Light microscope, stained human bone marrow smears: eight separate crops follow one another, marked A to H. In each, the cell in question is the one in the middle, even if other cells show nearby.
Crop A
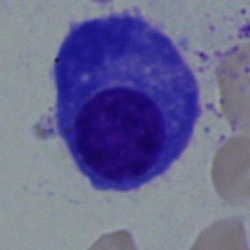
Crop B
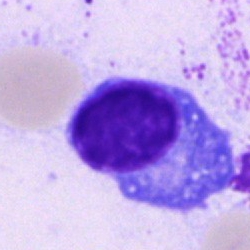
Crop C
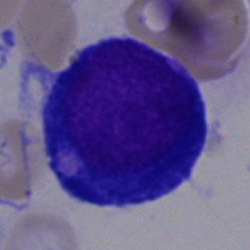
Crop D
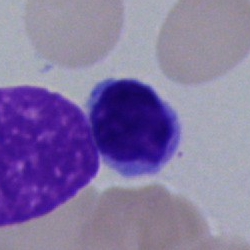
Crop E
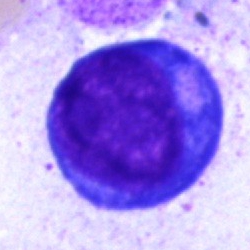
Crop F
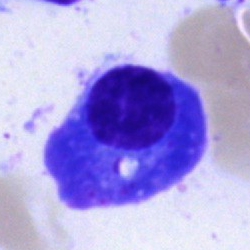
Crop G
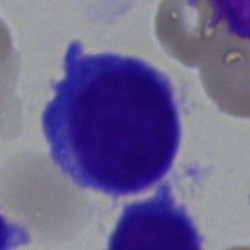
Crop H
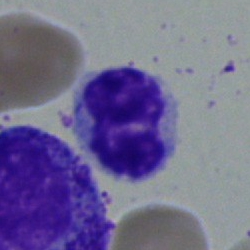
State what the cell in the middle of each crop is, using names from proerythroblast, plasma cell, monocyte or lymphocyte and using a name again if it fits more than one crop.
A: plasma cell
B: plasma cell
C: proerythroblast
D: lymphocyte
E: proerythroblast
F: plasma cell
G: plasma cell
H: monocyte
